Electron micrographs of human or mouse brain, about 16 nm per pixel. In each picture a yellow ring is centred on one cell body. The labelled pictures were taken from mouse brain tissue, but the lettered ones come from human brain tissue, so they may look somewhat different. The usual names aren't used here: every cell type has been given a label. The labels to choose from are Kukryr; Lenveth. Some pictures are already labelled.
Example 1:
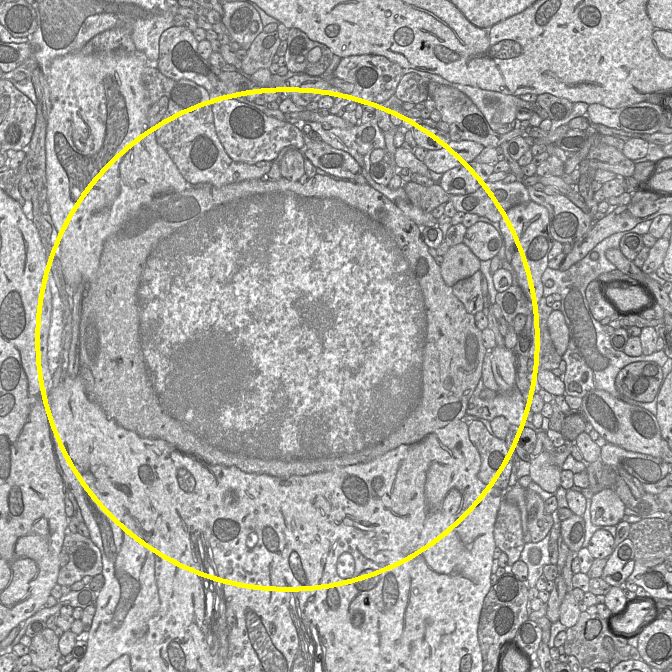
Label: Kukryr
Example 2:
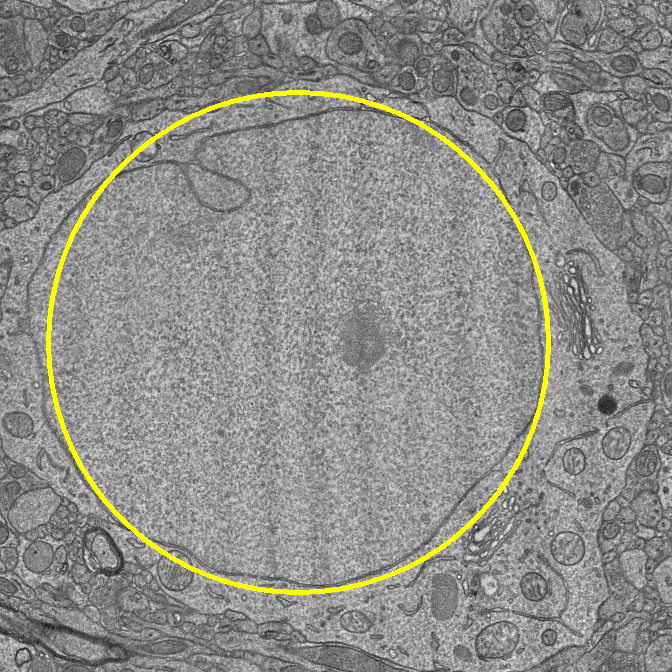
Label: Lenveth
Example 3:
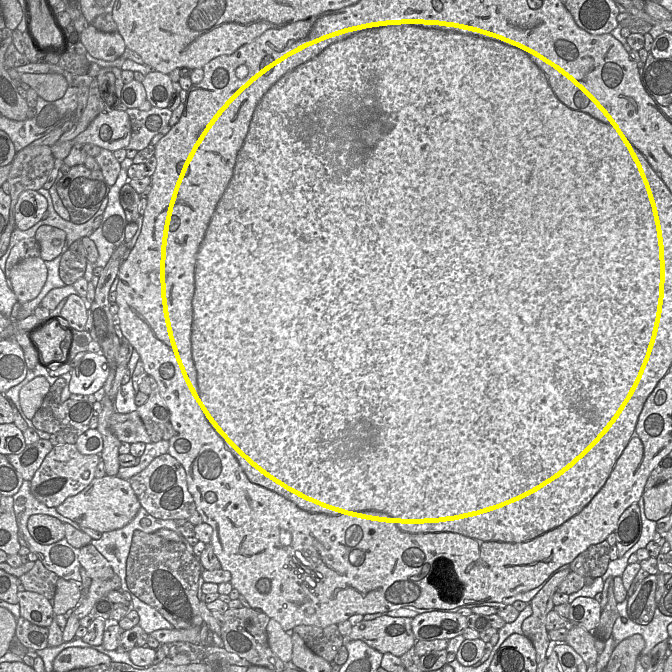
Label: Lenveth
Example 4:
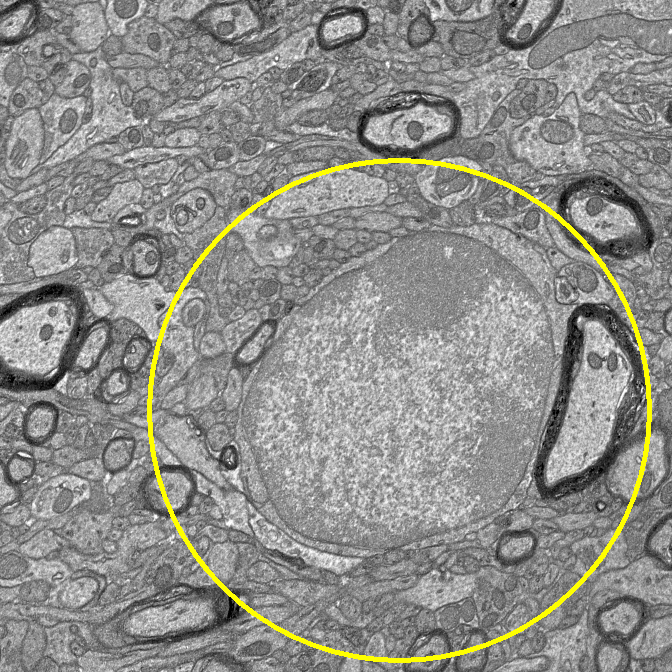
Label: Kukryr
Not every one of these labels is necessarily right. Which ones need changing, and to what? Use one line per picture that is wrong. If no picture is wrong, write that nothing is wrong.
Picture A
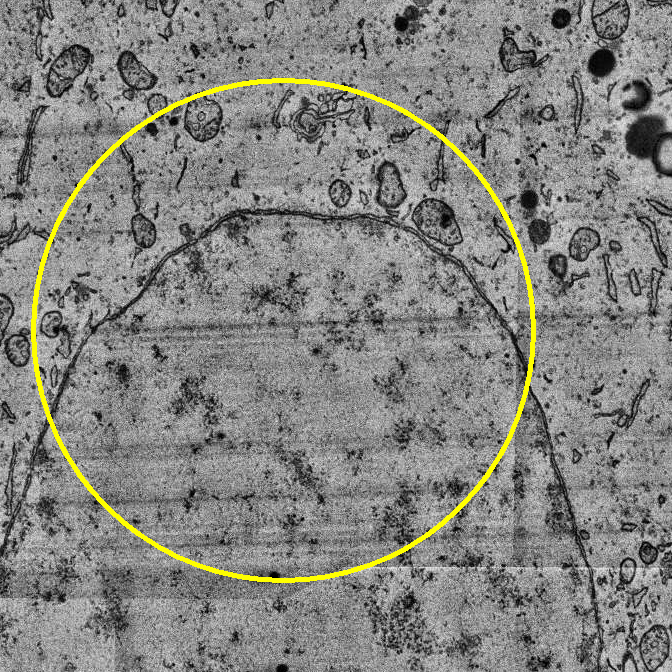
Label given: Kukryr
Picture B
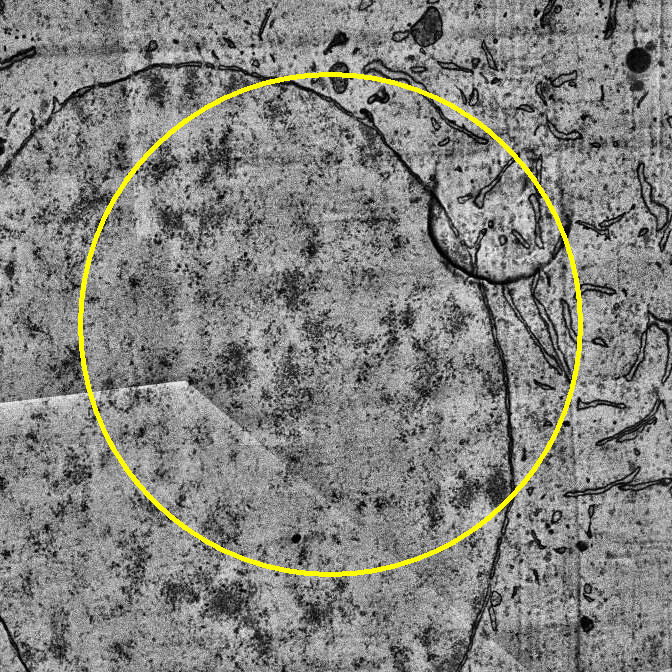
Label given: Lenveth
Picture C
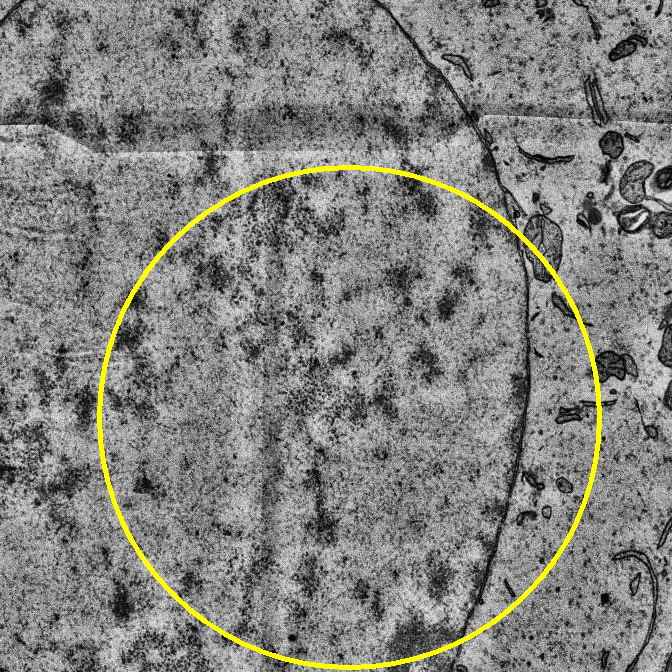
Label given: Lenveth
A should be Lenveth, not Kukryr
